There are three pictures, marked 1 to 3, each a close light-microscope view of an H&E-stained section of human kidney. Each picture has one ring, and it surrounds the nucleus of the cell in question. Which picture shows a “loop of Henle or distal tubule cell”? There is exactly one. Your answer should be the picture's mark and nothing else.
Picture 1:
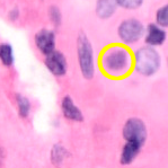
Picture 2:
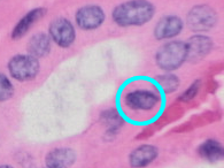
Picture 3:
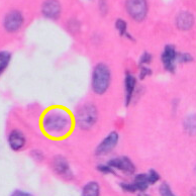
3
